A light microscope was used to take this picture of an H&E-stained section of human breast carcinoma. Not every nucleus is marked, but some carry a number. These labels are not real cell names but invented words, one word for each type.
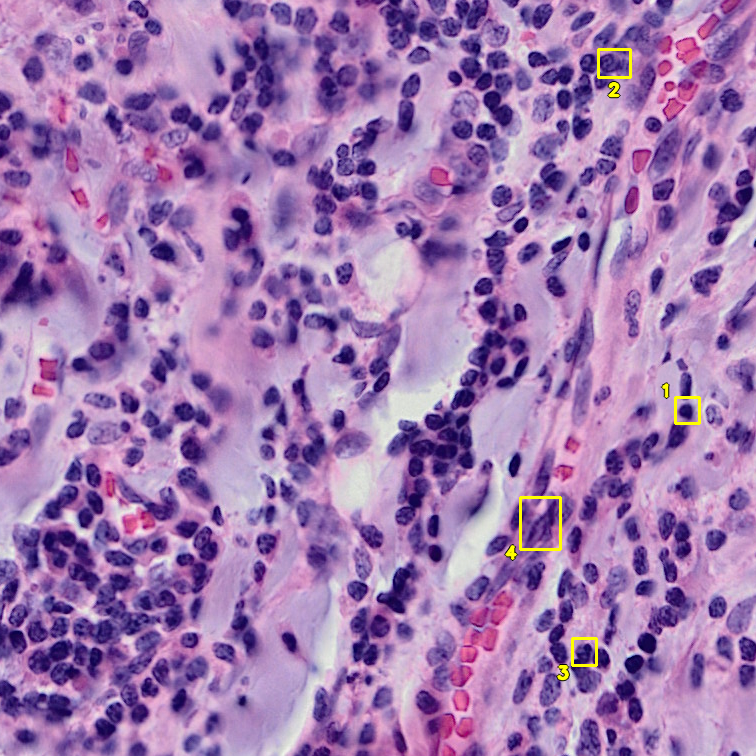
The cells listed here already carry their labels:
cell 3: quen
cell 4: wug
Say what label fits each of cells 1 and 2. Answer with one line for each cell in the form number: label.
1: quen
2: quen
